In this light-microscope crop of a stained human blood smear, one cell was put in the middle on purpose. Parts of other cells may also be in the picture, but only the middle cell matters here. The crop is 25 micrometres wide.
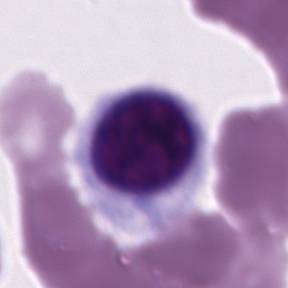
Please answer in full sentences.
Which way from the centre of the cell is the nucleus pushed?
The nucleus is pushed toward the top of the cell.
